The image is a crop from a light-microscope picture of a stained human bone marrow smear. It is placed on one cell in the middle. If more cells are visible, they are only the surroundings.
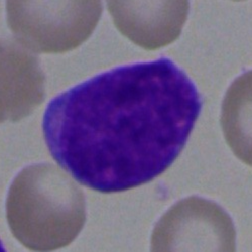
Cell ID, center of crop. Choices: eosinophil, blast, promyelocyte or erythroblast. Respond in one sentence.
Here the centrally located cell is a blast.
